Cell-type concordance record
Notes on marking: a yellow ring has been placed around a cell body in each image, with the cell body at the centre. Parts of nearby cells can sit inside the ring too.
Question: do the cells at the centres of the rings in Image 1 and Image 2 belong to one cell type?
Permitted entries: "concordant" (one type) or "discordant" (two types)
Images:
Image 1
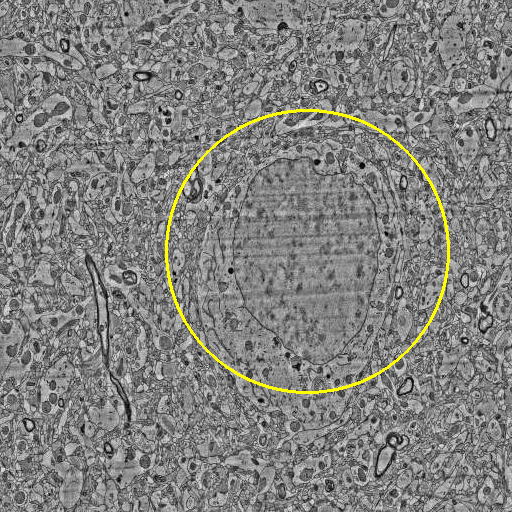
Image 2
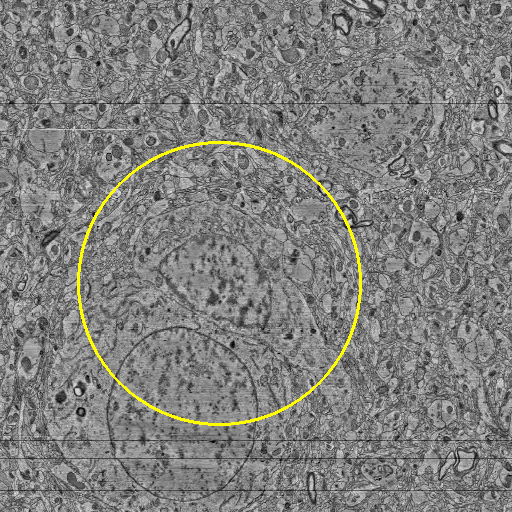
discordant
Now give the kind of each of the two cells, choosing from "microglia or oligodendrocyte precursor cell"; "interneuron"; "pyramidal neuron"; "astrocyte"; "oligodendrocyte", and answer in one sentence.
The cell in the first picture is a pyramidal neuron, and the cell in the second is an interneuron.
